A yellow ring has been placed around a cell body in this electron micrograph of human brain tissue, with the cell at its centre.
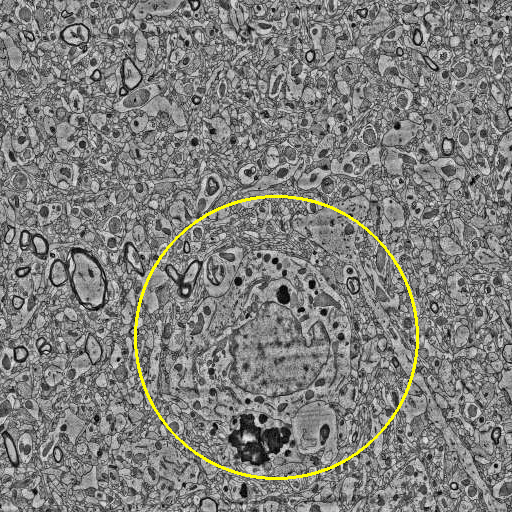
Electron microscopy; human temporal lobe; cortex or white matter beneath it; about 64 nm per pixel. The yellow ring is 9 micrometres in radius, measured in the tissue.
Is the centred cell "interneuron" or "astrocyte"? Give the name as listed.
interneuron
